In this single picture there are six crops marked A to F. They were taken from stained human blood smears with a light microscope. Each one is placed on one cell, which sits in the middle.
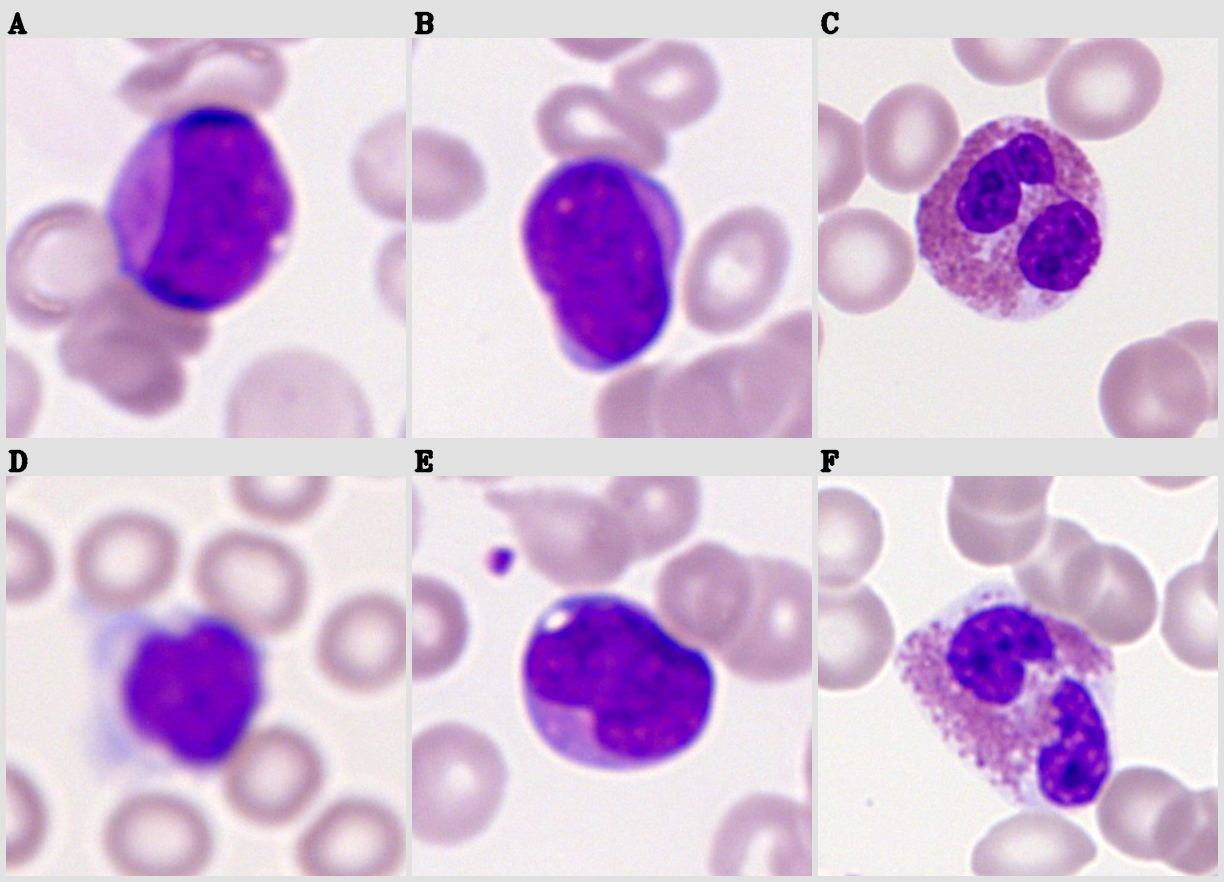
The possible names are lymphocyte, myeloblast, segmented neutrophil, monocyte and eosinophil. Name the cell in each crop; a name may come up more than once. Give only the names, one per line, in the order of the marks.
myeloblast
myeloblast
eosinophil
lymphocyte
myeloblast
eosinophil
